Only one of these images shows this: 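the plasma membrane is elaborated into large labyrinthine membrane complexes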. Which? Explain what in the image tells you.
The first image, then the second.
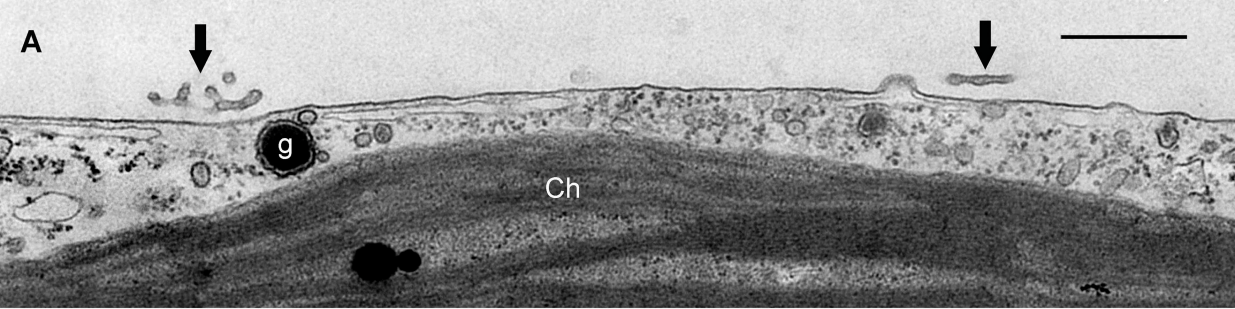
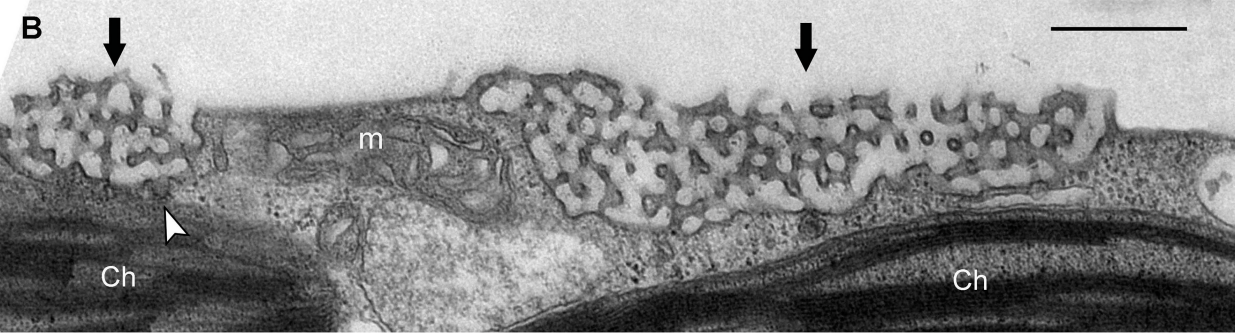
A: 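Second image: large convoluted tubular membrane complexes line much of the cell surface. First image: the plasma membrane is a thin smooth line with only small fragments outside it. That points to this answer: the second image.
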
